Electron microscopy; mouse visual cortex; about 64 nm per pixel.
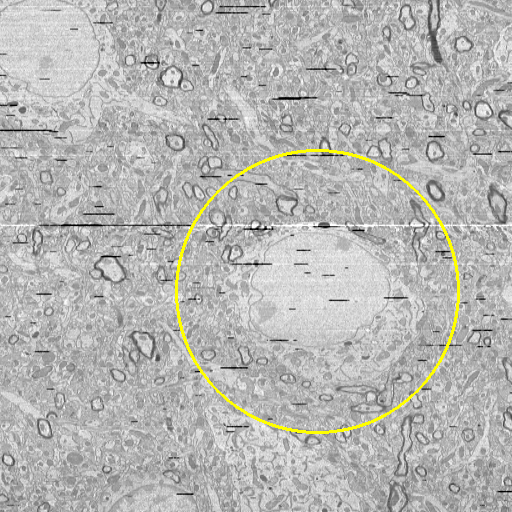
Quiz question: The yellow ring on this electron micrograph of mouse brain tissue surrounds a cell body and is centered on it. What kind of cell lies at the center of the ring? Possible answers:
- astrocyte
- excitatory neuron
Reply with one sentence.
The ring's center lies on an excitatory neuron.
